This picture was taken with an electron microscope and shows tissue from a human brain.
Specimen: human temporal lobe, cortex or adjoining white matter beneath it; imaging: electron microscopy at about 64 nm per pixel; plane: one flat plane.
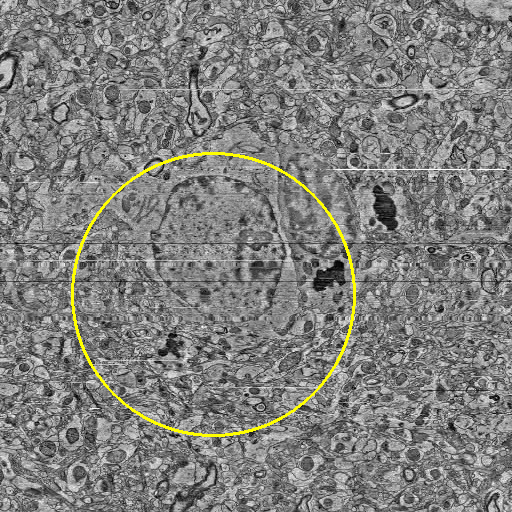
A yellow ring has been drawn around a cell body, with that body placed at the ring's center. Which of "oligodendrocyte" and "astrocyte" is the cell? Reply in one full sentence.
In this picture, an astrocyte is the cell at the center of the yellow ring.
